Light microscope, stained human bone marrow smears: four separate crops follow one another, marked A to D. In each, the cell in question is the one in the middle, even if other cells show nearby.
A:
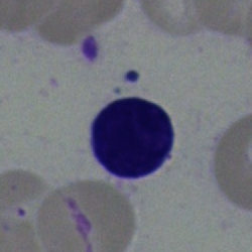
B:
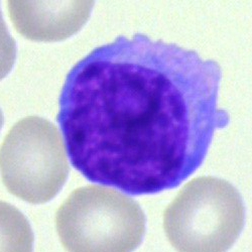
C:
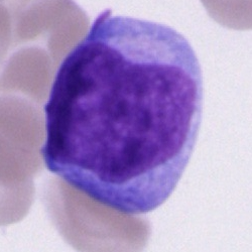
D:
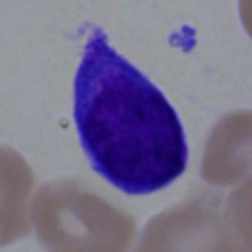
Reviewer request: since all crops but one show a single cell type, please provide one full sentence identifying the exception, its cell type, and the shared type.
Only one crop differs, namely crop A, which is a lymphocyte; the others show blasts.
